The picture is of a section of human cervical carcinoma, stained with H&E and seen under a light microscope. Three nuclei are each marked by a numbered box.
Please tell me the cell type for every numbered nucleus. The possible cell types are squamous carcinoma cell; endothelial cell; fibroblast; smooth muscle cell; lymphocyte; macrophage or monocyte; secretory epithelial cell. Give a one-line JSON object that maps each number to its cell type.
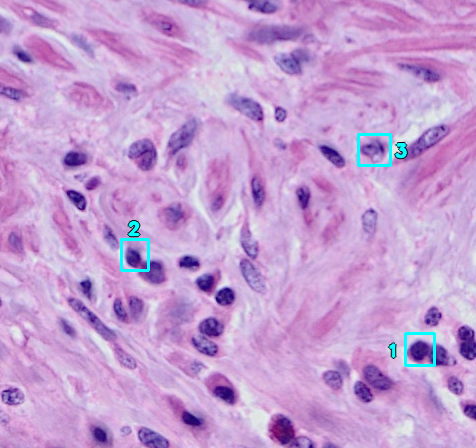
{"1": "lymphocyte", "2": "lymphocyte", "3": "macrophage or monocyte"}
